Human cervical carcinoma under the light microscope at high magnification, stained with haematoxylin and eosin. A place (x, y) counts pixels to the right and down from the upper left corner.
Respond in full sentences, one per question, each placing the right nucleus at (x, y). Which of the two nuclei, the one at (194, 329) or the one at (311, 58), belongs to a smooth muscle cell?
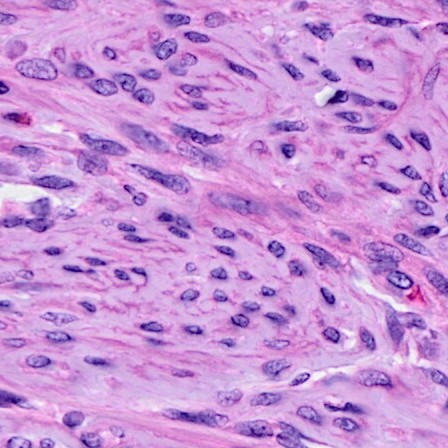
Identify the nucleus at (194, 329) as the one belonging to a smooth muscle cell.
